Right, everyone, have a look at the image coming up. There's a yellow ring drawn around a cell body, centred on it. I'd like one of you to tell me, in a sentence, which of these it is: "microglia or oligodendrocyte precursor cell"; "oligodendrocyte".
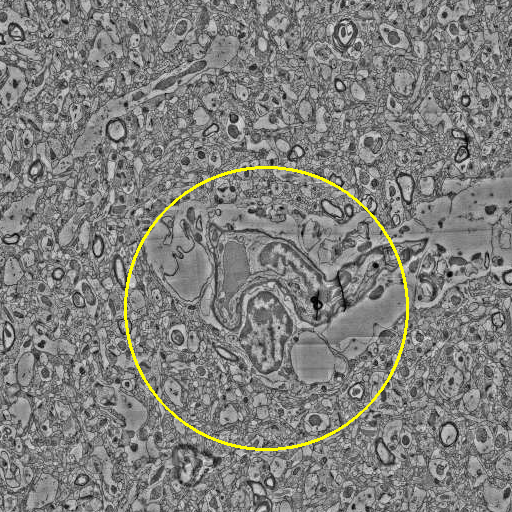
The yellow ring sits on a microglial cell or oligodendrocyte precursor cell.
